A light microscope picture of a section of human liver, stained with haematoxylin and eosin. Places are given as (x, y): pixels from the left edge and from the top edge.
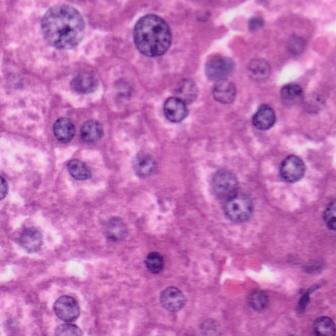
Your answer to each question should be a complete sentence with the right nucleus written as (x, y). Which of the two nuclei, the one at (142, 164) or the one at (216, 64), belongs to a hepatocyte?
As for which of the two, the nucleus at (142, 164) belongs to a hepatocyte.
